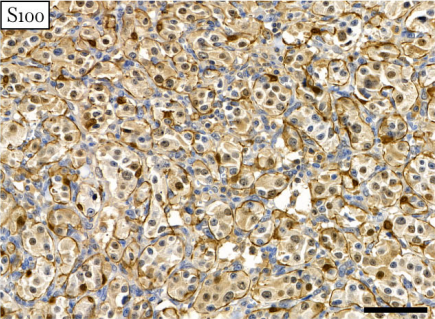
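Nested tumor in which the supporting cells stand out. Thin, elongated cells with dark brown stain trace the outer borders of the rounded nests, forming fine brown rims around groups of chief cells. The chief cells inside the nests are larger and polygonal, with round blue to brown nuclei and only pale tan cytoplasm. Some scattered nuclei are stained more darkly. Between the nests, thin bluish stroma with elongated nuclei separates the groups, keeping the lobulated nested architecture visible.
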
